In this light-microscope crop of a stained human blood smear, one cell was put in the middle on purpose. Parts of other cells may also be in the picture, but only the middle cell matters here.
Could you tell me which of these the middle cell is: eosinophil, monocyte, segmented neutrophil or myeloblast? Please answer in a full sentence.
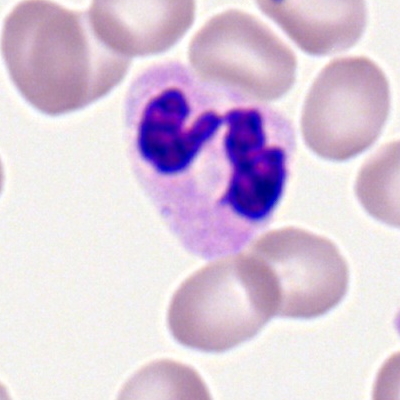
Located at the centre of the crop is a segmented neutrophil.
